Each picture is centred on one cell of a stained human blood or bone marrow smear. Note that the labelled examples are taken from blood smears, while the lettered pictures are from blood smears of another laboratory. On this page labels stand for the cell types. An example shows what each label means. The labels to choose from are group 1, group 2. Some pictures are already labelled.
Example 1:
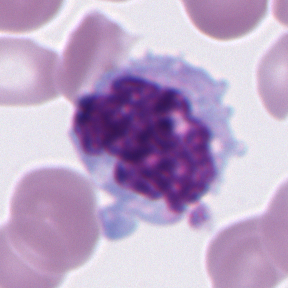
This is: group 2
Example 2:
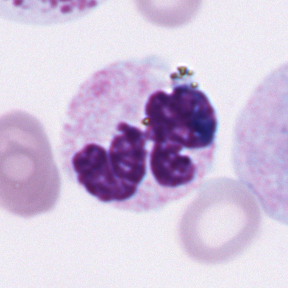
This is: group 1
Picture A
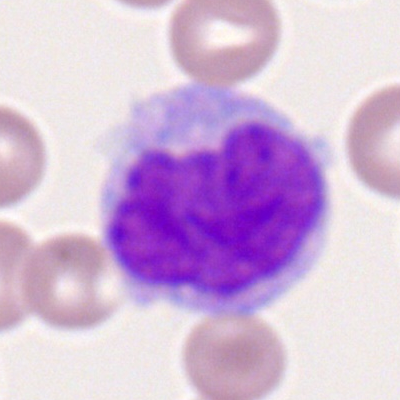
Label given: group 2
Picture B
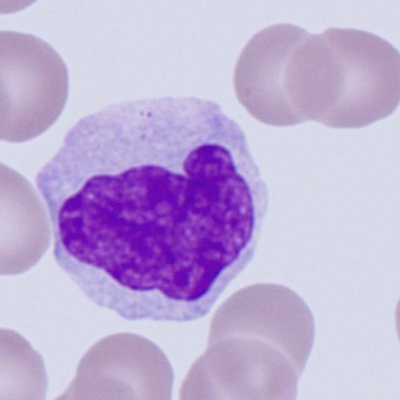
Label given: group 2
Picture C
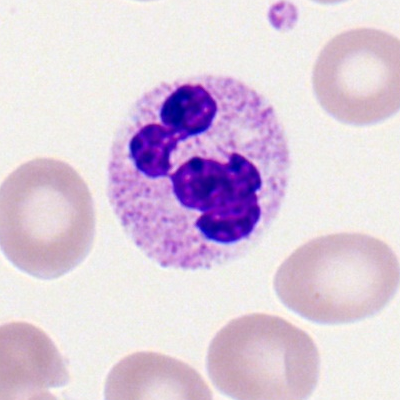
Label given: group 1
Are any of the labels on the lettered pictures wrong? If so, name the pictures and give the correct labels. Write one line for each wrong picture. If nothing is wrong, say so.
All correct.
